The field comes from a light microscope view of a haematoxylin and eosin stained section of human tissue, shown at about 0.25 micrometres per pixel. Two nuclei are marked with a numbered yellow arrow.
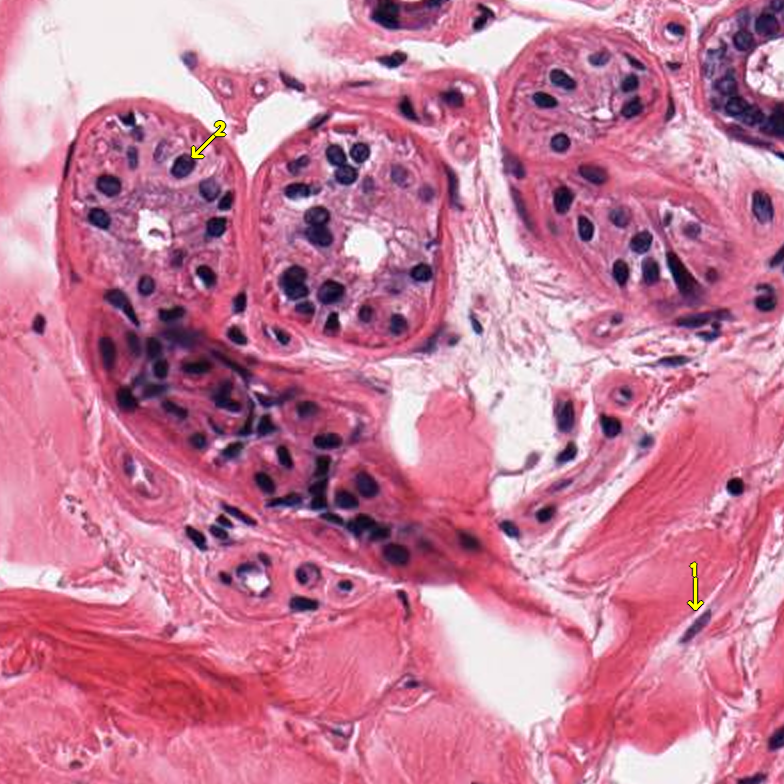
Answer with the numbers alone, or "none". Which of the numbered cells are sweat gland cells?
2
